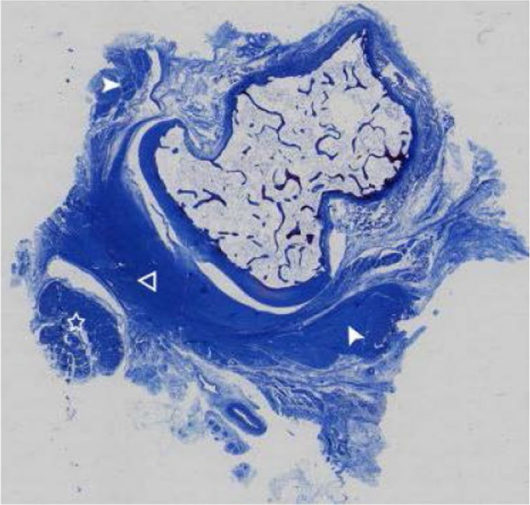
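A bone at the top shows a spongy interior of thin dark-outlined trabeculae around pale spaces. At the lower left a rounded bundle divided into fascicles lies separately in a clear space. Looser, lighter blue connective tissue surrounds everything, and a small vessel with a thick wall appears near the bottom edge.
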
